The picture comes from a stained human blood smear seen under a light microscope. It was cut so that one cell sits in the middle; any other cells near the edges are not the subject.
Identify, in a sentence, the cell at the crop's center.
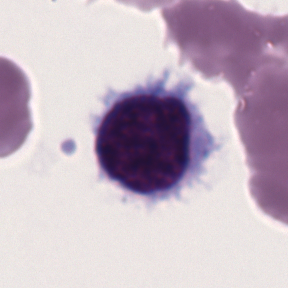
The cell found in the middle of this crop is a hairy cell.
